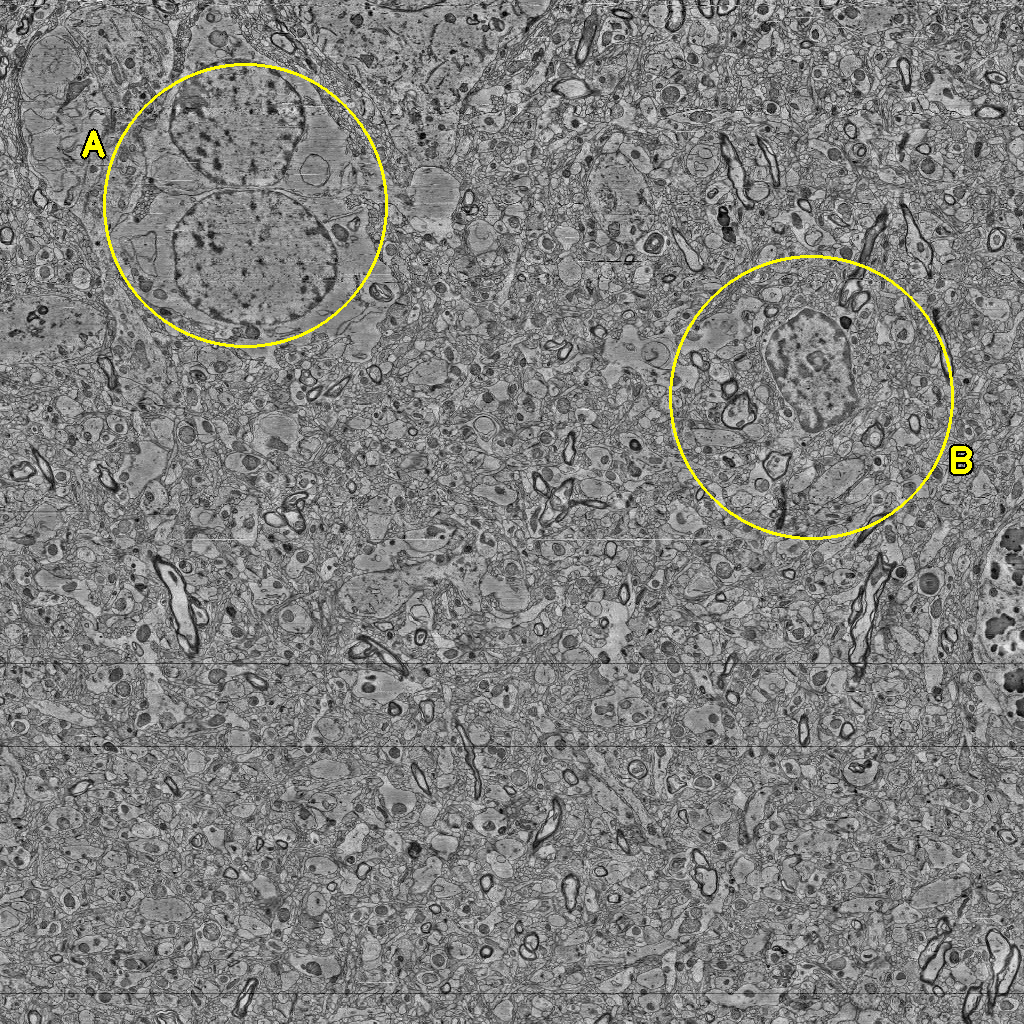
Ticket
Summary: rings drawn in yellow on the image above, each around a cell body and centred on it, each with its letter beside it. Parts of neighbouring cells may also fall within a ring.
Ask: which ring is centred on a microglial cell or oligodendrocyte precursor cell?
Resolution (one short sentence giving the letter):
The ring marked B is centred on it.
